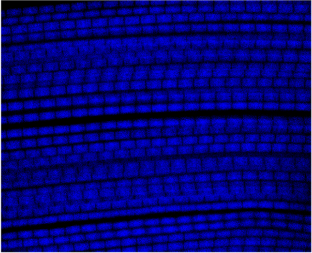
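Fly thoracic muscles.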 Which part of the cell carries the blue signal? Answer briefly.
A: Myofibrils.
